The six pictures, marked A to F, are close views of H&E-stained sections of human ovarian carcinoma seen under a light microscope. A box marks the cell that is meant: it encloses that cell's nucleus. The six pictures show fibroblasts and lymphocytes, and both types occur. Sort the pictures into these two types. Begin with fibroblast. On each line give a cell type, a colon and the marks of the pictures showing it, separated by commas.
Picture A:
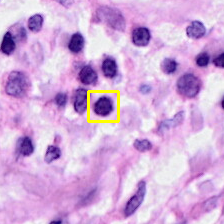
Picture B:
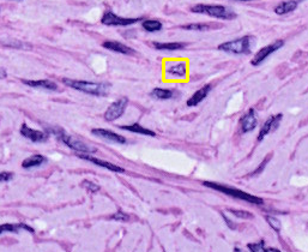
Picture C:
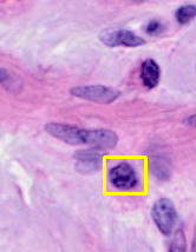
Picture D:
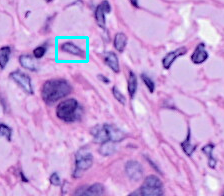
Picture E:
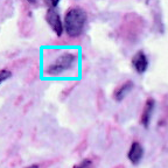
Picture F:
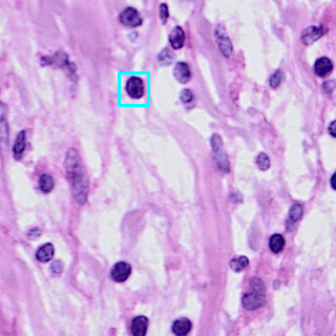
fibroblast: B, D, E
lymphocyte: A, C, F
